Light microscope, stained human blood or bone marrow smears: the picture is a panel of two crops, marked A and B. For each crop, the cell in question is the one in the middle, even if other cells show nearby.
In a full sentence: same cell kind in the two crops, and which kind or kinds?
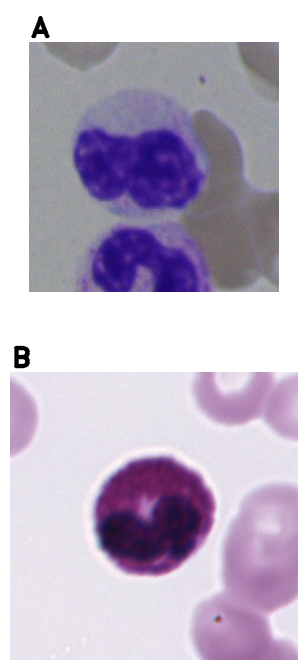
No, for crop A the cell is a band neutrophil, and for crop B it is an eosinophil.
